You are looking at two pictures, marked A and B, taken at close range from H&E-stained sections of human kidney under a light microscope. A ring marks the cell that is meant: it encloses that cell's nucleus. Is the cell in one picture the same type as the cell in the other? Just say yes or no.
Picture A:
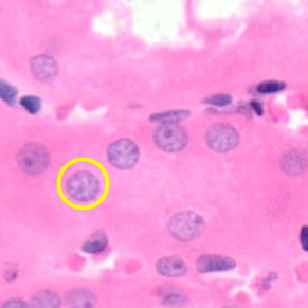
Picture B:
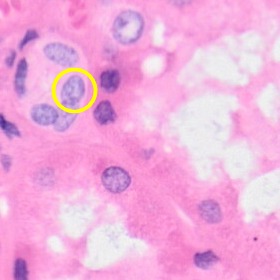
no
